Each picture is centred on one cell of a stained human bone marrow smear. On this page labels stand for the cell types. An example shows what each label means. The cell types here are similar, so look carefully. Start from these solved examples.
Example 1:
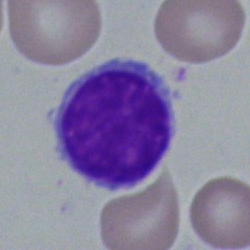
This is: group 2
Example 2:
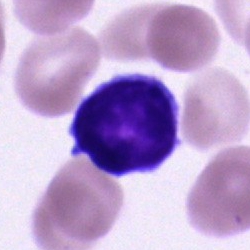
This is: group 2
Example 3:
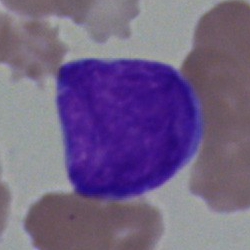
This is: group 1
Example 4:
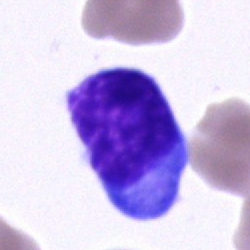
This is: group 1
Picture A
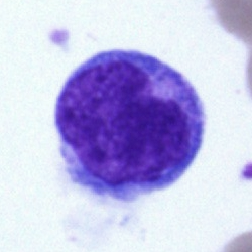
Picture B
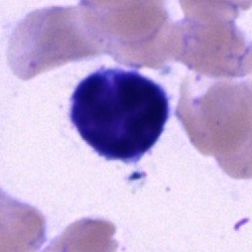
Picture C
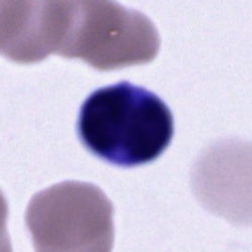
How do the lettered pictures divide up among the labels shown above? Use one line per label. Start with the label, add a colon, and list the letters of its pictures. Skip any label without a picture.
group 2: B, C
group 1: A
